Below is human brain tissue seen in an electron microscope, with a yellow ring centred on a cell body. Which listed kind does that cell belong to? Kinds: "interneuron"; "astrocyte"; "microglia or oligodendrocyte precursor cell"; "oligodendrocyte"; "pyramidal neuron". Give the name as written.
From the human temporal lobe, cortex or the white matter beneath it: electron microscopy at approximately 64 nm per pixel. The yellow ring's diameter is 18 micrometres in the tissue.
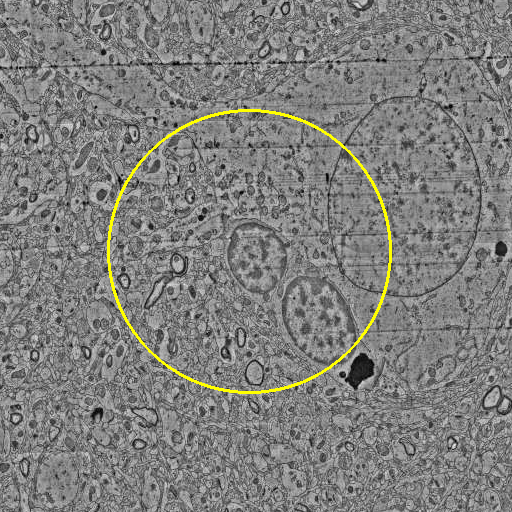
oligodendrocyte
